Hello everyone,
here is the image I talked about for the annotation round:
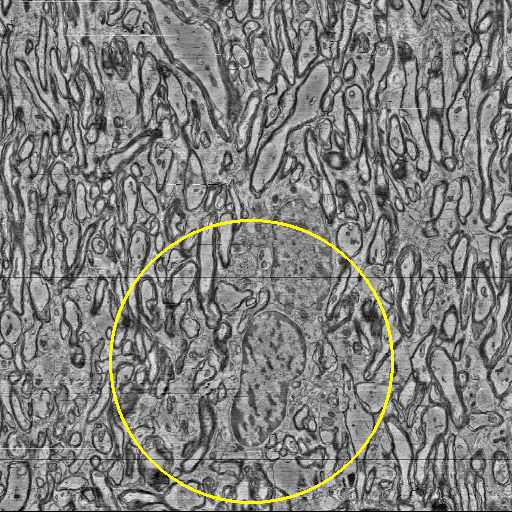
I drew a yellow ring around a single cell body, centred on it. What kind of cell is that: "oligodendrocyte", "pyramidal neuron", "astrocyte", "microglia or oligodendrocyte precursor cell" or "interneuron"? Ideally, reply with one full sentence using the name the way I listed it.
The cell your yellow ring is centred on is a microglial cell or oligodendrocyte precursor cell, going by your list.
